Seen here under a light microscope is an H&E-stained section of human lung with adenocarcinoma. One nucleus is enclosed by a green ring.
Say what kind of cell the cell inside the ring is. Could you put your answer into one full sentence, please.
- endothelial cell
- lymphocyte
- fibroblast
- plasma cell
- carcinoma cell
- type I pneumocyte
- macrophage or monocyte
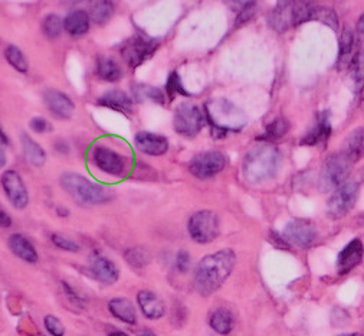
Recorded by type, the cell inside the ring is a plasma cell.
